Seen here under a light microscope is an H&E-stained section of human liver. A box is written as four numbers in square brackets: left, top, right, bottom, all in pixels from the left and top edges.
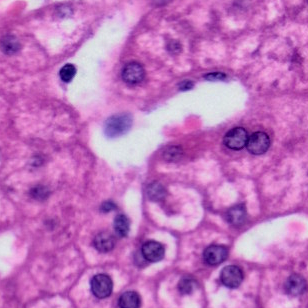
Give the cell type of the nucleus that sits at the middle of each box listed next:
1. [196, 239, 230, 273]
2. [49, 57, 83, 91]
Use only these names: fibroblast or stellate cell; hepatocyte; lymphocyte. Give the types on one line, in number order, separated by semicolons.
hepatocyte; lymphocyte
